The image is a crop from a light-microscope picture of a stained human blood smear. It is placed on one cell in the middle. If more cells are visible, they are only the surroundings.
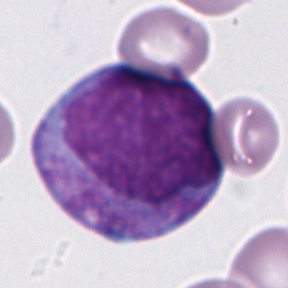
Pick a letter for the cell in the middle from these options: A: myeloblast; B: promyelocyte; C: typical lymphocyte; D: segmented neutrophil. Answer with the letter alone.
B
